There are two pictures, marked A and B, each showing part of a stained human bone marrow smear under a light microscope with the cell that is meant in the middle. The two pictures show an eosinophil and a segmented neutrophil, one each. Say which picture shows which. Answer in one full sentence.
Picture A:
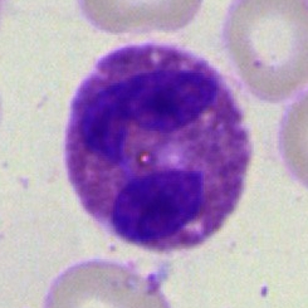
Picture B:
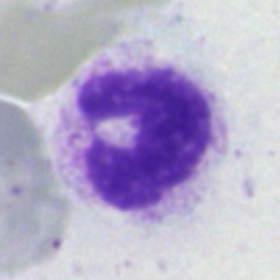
It is picture A that shows an eosinophil, and picture B that shows a segmented neutrophil.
